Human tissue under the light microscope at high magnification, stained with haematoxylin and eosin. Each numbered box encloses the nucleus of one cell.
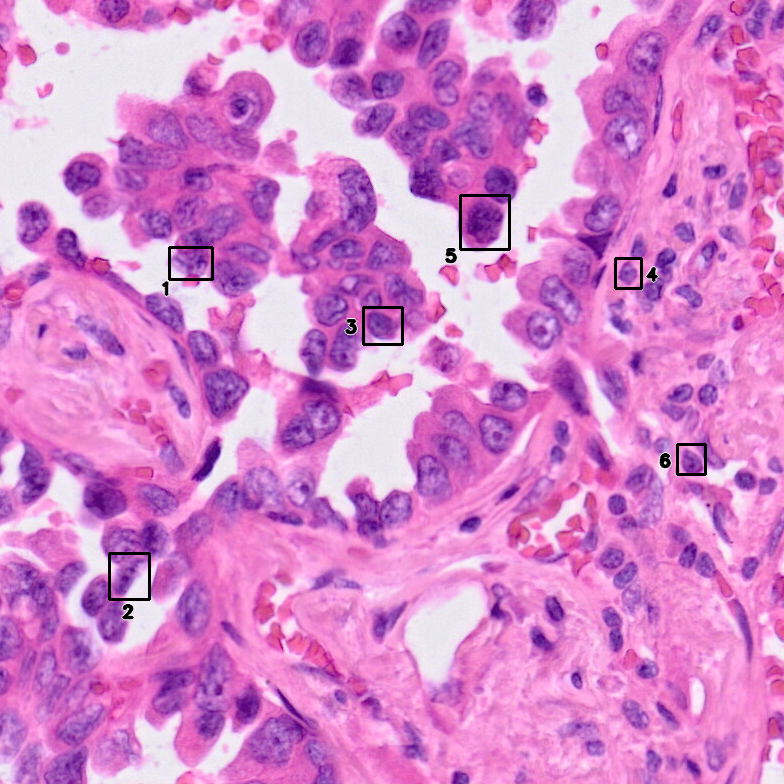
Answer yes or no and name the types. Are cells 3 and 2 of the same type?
Yes, both are carcinoma cells.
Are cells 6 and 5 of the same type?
No, cell 6 is a lymphocyte and cell 5 is a carcinoma cell.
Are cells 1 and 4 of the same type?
No, cell 1 is a carcinoma cell and cell 4 is a lymphocyte.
